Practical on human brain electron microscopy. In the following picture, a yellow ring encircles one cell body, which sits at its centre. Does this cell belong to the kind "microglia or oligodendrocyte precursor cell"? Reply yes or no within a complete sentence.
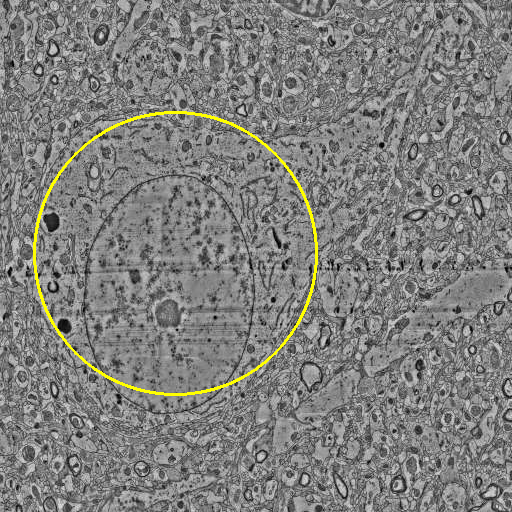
No, the cell lying within the ring at its centre is another kind.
